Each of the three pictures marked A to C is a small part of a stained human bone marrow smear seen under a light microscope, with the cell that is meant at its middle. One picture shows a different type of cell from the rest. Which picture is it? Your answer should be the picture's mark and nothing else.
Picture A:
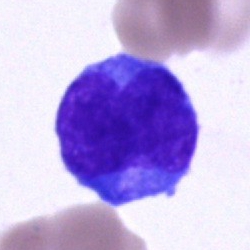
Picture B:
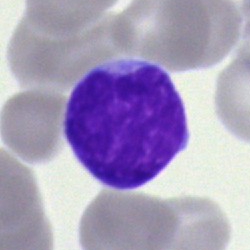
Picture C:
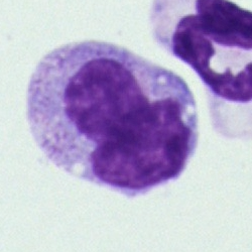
C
